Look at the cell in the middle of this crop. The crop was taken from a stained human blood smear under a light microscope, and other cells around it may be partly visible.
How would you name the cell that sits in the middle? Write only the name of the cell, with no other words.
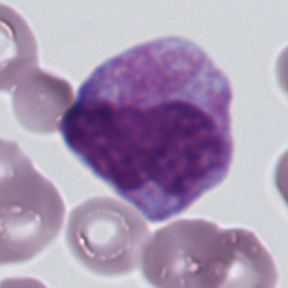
atypical promyelocyte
